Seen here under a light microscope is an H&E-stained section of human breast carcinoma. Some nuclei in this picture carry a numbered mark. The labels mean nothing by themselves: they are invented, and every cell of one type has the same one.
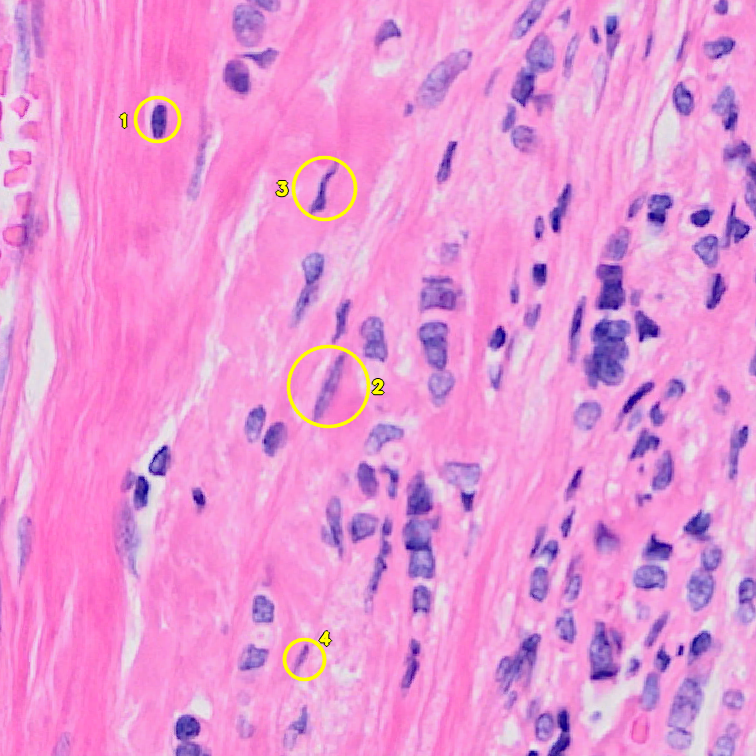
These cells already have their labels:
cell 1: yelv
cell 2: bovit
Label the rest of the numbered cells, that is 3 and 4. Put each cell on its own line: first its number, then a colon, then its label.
3: bovit
4: bovit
